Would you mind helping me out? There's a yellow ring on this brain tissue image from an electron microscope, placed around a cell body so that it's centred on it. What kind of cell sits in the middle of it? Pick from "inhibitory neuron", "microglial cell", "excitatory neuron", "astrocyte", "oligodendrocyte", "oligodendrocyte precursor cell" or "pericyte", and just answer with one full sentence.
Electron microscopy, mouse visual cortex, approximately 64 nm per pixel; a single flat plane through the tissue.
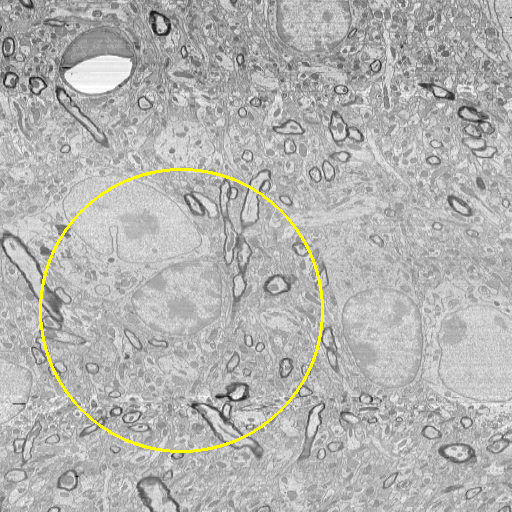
What sits in the middle of that yellow ring is an oligodendrocyte, from your choices.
